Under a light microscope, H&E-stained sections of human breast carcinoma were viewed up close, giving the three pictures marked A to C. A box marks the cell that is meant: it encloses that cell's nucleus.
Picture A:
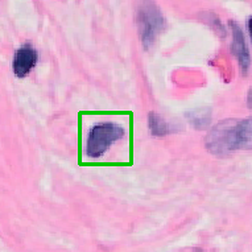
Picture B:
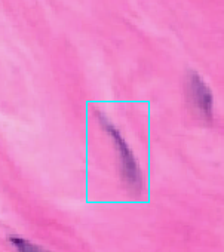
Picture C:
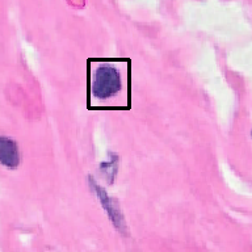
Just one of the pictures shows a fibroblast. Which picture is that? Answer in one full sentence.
The cell in picture B is the fibroblast.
